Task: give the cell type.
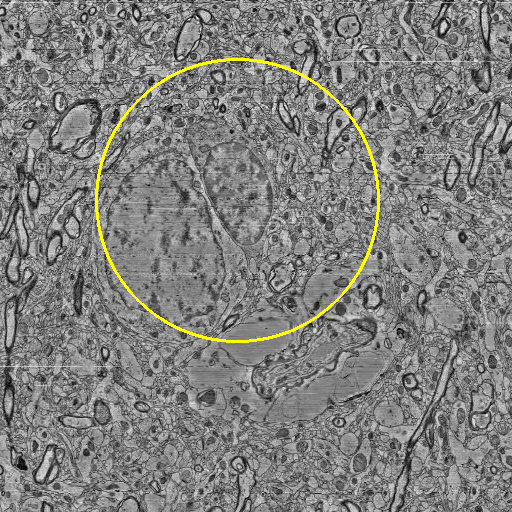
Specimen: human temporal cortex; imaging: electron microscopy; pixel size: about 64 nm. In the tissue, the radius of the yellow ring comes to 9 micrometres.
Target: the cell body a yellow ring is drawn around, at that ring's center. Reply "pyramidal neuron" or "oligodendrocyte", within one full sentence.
In this picture, the cell whose body lies at the ring's center is an oligodendrocyte.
